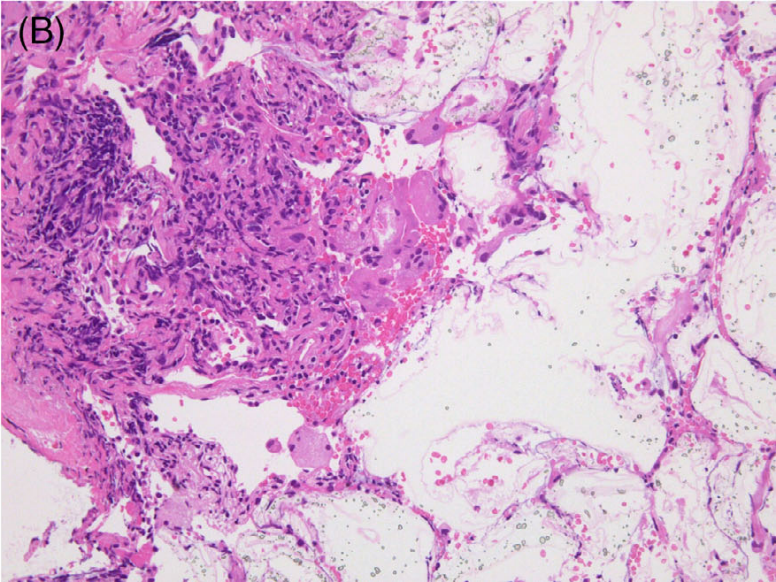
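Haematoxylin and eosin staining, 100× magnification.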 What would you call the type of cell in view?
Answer: Foreign body‐type multinucleated giant cells.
